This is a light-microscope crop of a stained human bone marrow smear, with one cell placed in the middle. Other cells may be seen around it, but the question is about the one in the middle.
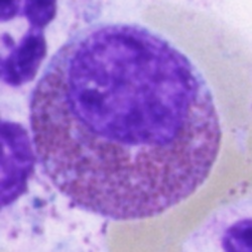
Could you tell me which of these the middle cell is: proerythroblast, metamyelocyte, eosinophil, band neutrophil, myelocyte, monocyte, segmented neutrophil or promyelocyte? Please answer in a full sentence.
The center cell of this crop is an eosinophil.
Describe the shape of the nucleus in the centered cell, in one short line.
Its nucleus is compact and single, with a round, oval or kidney-shaped form.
